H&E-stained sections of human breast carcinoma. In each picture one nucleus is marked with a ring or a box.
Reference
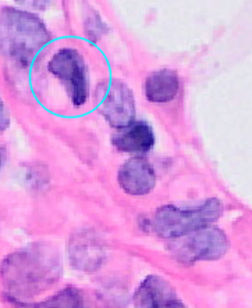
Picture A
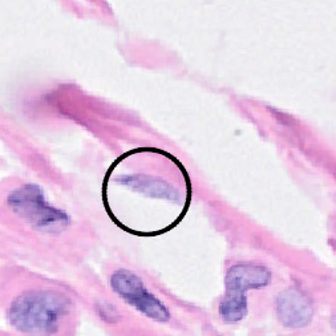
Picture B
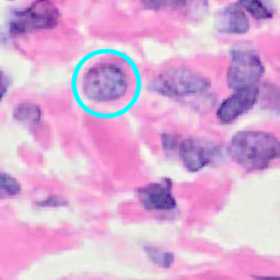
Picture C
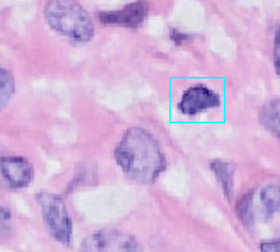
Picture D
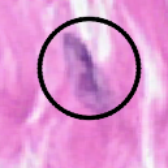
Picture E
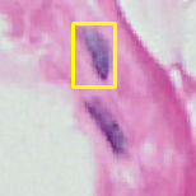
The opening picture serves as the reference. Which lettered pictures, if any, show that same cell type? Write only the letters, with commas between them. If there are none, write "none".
B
